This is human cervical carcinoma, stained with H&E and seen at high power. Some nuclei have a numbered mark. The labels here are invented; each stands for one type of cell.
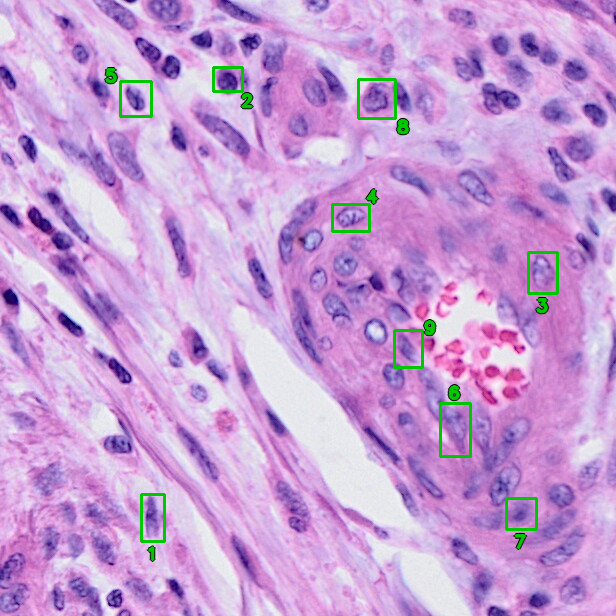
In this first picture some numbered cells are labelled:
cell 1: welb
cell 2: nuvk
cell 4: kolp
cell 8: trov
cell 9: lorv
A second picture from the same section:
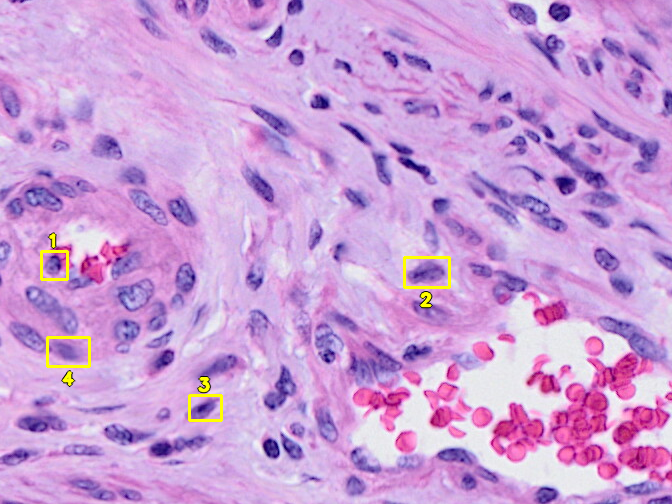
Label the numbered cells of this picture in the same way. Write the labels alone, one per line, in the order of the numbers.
lorv
trov
welb
kolp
